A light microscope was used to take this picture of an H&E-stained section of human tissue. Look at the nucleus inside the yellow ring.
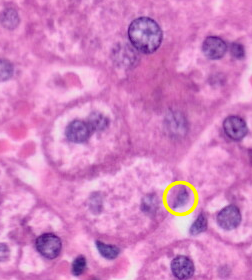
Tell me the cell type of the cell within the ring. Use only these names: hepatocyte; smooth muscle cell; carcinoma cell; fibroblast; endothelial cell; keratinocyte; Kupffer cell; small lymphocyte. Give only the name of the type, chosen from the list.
endothelial cell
